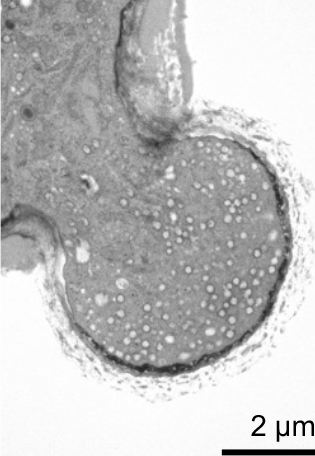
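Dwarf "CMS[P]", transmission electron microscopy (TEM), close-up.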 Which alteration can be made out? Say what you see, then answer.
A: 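Swollen aperture. A rounded bulge pushes out through a narrow opening in the thick grain wall. The bulge is short and rounded rather than an elongated tube. Its cytoplasm is filled with small pale vesicles.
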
